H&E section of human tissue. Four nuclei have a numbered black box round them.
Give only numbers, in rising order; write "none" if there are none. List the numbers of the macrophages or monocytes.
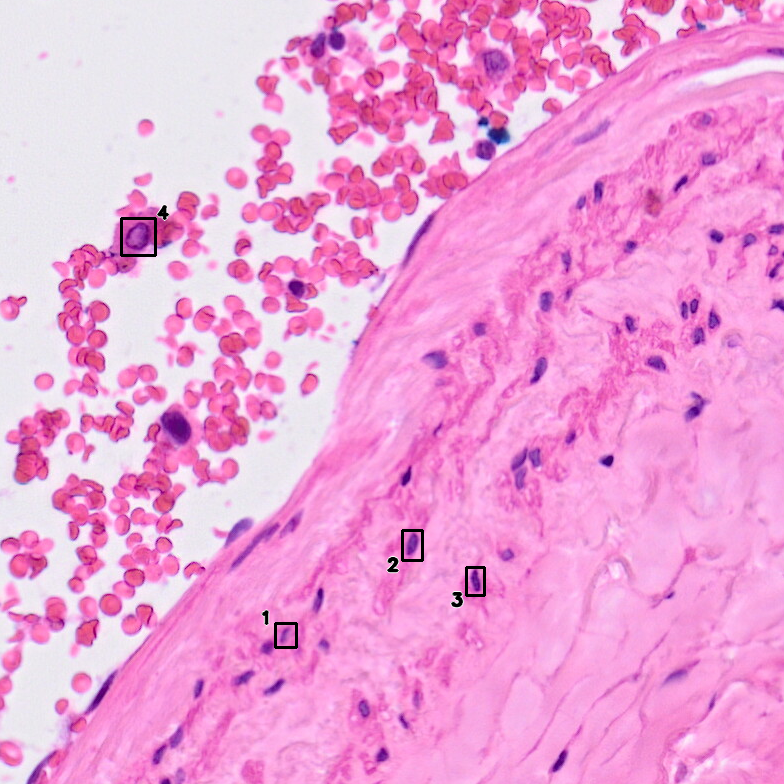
4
